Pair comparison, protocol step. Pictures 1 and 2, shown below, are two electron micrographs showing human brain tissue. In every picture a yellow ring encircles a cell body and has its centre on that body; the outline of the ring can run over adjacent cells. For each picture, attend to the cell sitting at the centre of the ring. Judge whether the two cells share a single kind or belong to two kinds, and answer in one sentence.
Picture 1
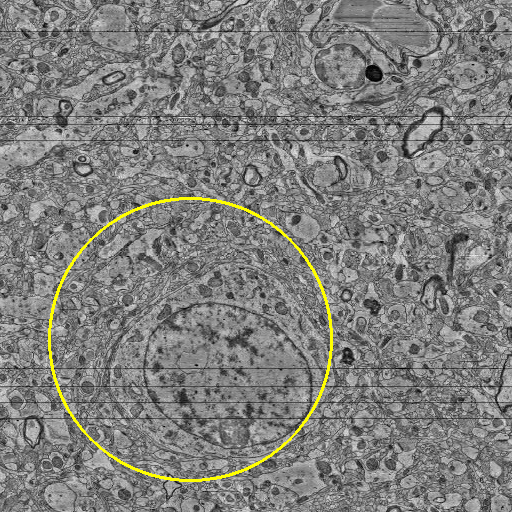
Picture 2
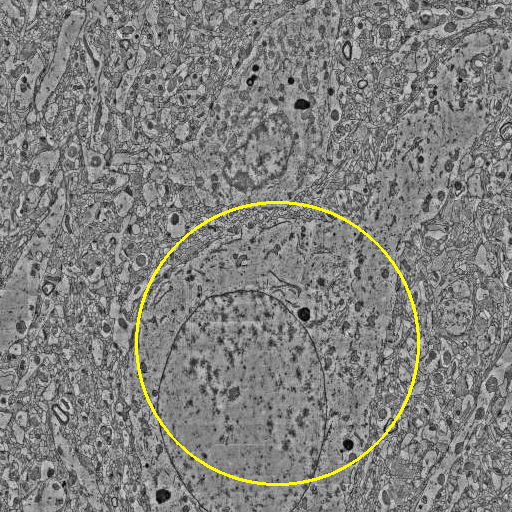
The two cells at the ring centres in Picture 1 and Picture 2 share a single kind.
